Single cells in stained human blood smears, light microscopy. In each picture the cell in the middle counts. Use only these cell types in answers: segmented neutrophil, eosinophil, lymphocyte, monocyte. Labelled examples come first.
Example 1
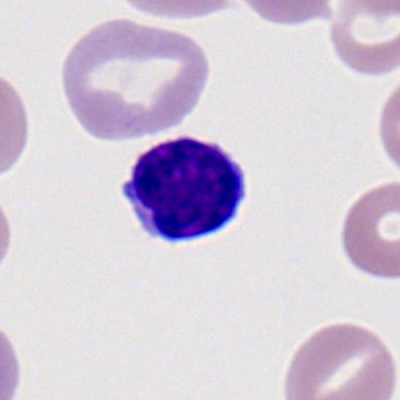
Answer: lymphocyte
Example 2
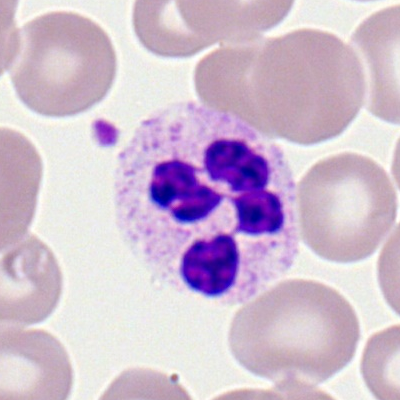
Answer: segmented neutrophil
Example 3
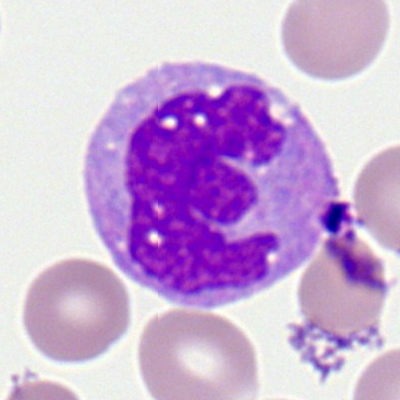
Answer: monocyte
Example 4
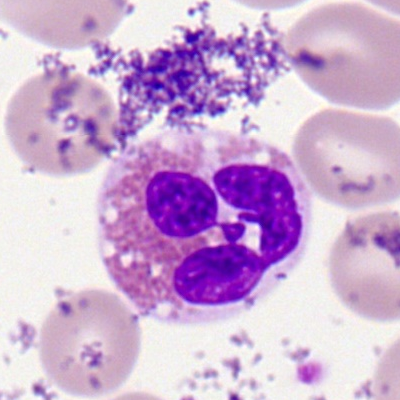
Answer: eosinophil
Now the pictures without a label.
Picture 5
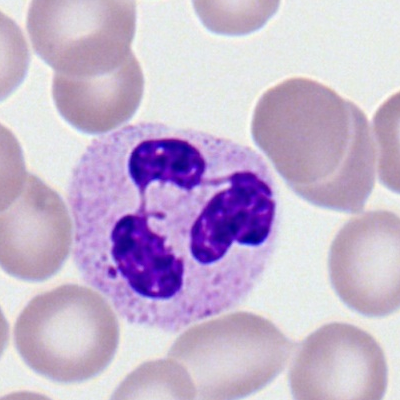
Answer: segmented neutrophil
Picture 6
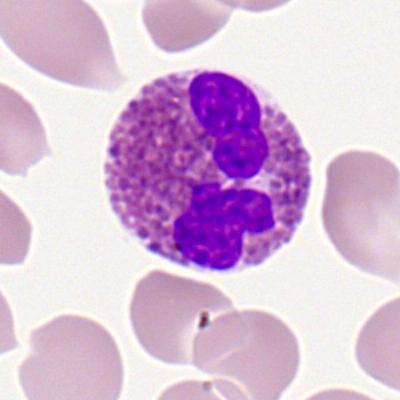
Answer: eosinophil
